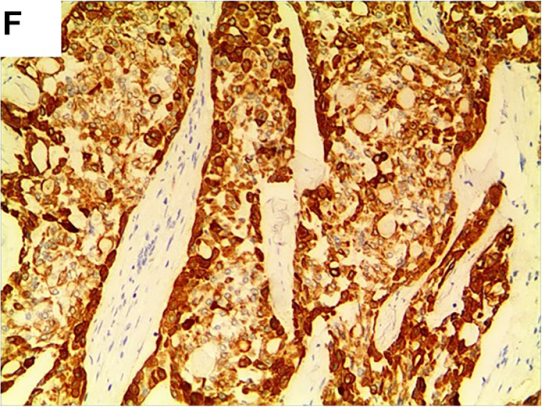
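The brown lies in the cytoplasm of the tumor cells, most intensely at the edges of the nests, while some cells inside the nests have pale, clear vacuolated cytoplasm with only a brown rim. The stroma between the nests is pale and contains only thin spindle-shaped blue nuclei. The nests form irregular islands and cords separated by these stromal bands.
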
